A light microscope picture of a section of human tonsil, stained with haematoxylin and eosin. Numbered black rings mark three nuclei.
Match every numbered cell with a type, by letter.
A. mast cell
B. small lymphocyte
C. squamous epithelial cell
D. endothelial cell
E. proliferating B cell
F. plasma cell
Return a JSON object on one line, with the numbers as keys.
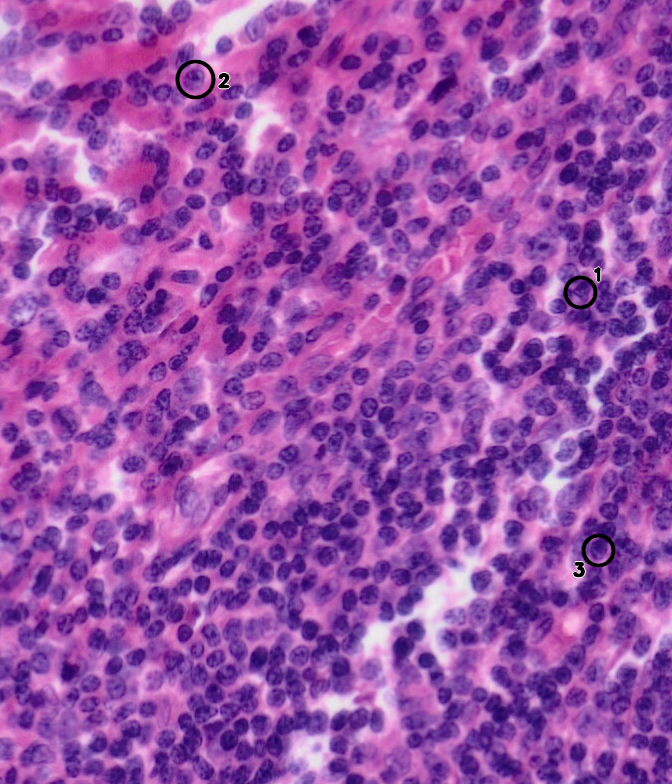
{"1": "B", "2": "F", "3": "B"}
